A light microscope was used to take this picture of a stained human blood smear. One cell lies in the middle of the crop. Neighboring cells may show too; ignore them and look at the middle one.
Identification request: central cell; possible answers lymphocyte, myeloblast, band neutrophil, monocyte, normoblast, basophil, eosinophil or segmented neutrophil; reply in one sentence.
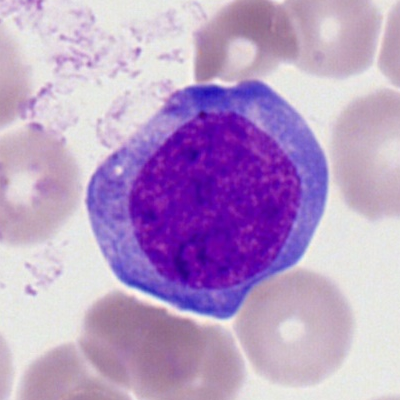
The cell the crop is centered on is a myeloblast.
